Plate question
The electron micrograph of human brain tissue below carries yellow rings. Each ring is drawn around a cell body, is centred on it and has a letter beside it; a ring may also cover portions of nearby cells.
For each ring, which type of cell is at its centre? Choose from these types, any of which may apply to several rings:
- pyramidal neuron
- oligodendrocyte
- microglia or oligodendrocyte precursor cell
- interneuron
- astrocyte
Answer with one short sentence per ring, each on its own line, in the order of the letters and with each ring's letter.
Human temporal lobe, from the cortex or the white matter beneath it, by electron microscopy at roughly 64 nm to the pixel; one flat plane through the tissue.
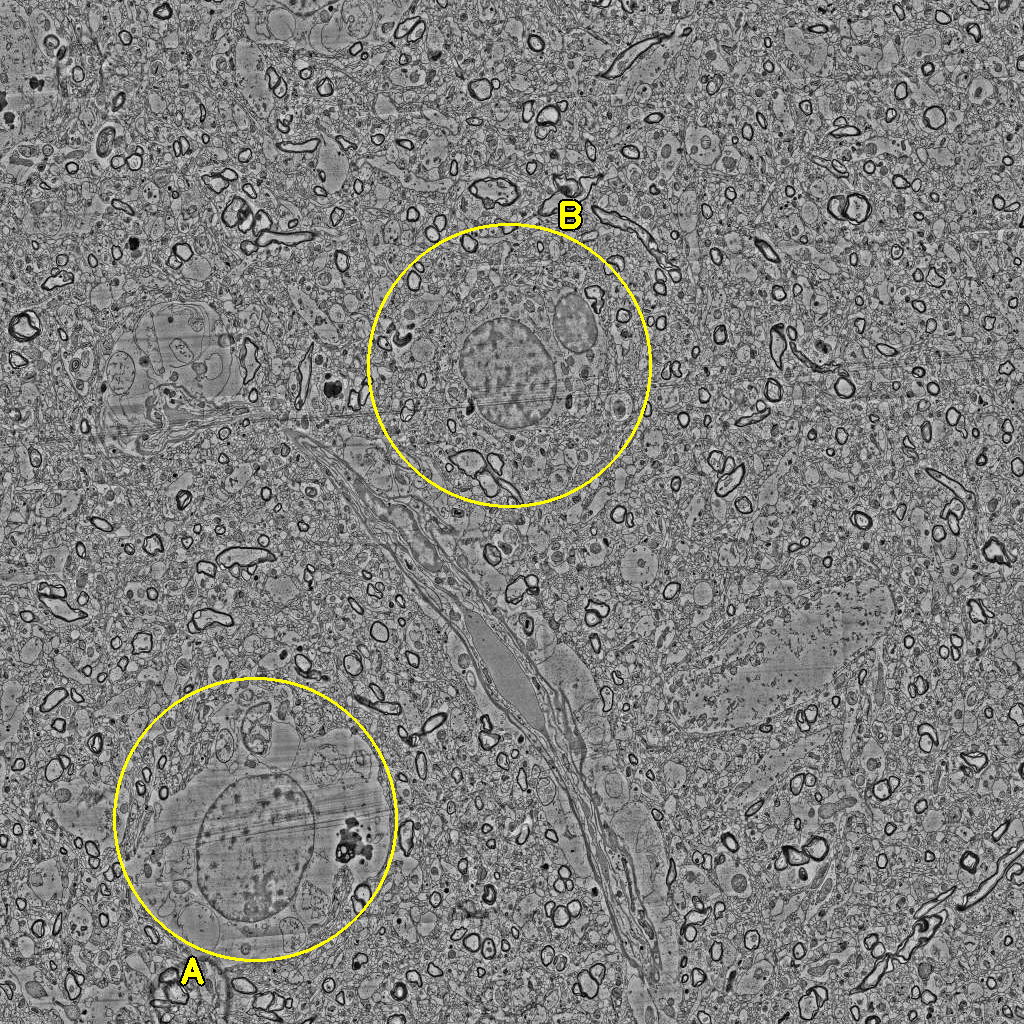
The cell ringed as A is an astrocyte.
The cell ringed as B is an oligodendrocyte.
